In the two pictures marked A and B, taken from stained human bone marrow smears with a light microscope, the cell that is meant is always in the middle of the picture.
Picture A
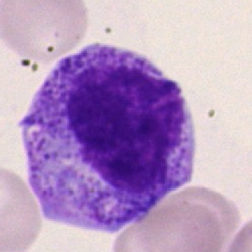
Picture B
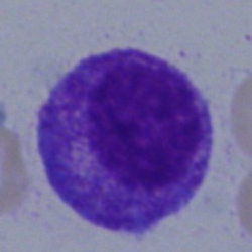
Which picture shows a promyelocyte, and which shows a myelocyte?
A: myelocyte
B: promyelocyte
